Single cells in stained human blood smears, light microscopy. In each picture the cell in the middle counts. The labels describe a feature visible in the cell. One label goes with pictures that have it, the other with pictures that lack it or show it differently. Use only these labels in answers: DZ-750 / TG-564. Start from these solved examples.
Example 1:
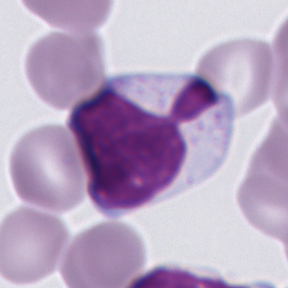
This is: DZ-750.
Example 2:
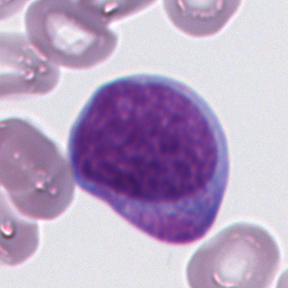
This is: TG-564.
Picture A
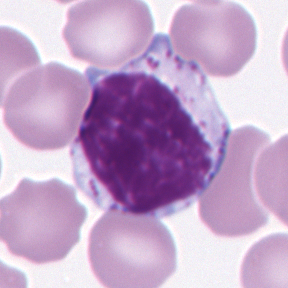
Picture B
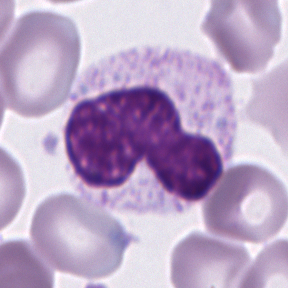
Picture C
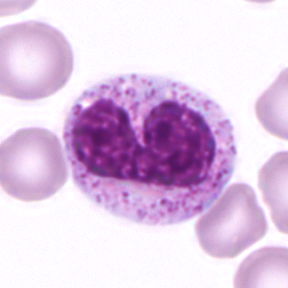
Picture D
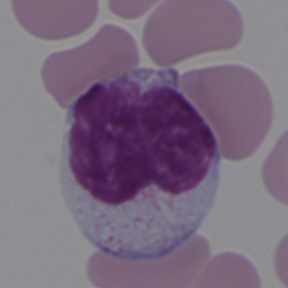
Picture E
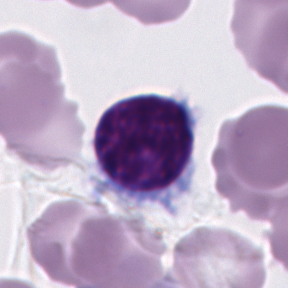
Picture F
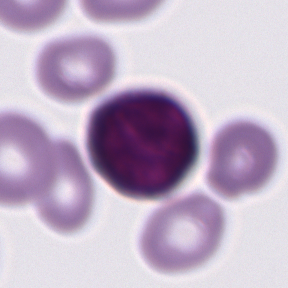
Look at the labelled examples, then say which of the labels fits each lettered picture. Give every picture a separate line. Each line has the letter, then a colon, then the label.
A: TG-564.
B: DZ-750.
C: DZ-750.
D: DZ-750.
E: TG-564.
F: TG-564.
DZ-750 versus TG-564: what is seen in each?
In DZ-750: lobed nucleus. In TG-564: single compact nucleus.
